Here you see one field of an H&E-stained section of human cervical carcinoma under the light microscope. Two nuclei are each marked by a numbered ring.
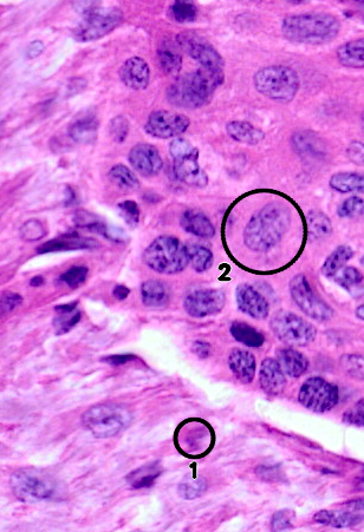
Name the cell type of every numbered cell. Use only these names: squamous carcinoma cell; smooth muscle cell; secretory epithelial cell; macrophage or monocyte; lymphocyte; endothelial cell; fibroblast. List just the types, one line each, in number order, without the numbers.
fibroblast
squamous carcinoma cell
